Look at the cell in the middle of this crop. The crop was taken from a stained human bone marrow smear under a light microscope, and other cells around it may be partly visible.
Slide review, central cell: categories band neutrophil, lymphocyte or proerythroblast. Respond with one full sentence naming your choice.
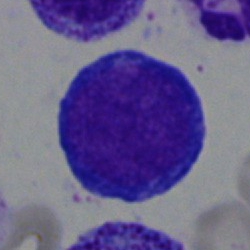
Classified as a proerythroblast is the cell in the middle of this crop.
